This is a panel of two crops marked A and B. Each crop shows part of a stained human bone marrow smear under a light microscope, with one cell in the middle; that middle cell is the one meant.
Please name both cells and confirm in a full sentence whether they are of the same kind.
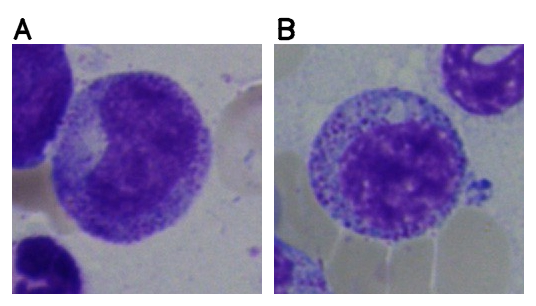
Yes, the two crops show myelocytes, both of them.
